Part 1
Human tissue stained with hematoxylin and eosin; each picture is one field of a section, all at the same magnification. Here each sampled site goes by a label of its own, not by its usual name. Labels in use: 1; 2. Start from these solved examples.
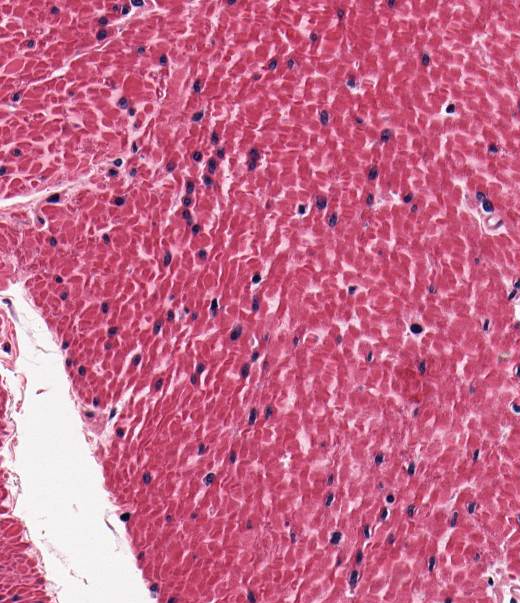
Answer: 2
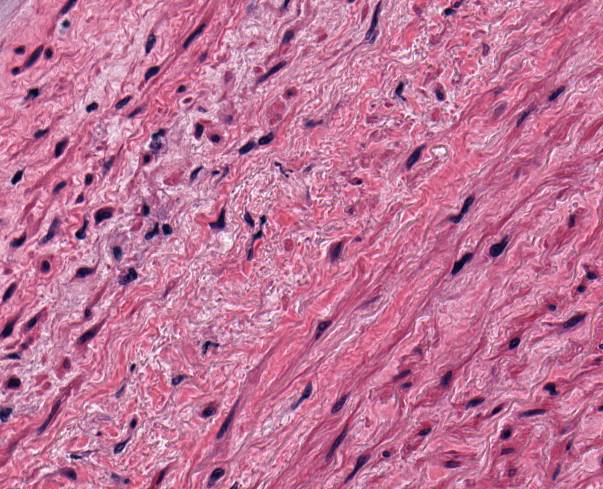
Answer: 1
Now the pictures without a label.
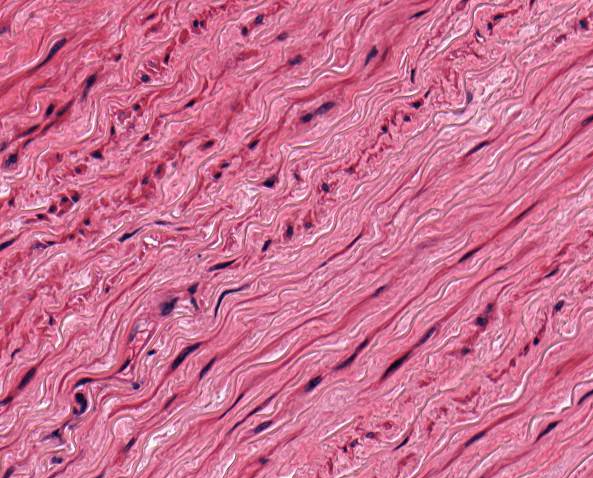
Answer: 1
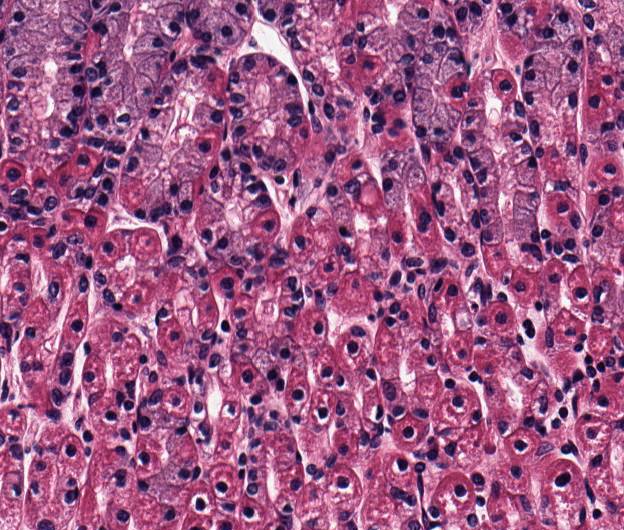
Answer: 2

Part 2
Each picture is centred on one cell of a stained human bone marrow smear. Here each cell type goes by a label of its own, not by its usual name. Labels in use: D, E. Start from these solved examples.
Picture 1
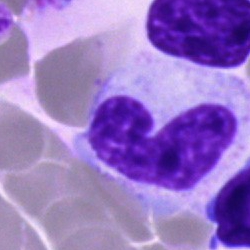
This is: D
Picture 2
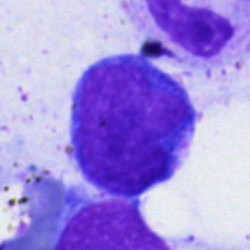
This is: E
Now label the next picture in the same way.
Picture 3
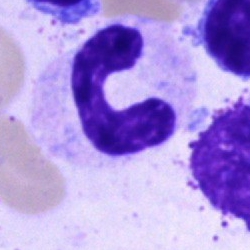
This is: D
